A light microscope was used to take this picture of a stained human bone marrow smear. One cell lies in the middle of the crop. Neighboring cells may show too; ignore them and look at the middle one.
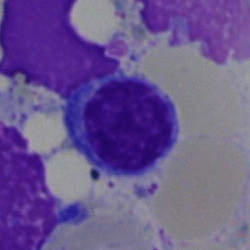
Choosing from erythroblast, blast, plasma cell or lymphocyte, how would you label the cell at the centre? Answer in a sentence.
By type, the central cell of the crop is a lymphocyte.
